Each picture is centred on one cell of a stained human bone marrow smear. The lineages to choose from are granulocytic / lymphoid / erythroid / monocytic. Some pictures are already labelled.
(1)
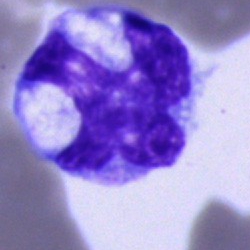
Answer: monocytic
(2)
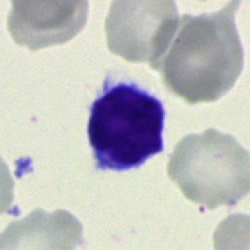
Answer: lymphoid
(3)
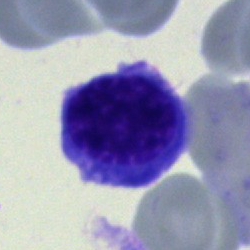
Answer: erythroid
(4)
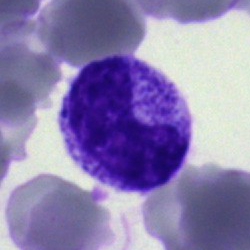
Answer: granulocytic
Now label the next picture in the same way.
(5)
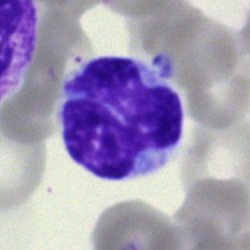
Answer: monocytic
